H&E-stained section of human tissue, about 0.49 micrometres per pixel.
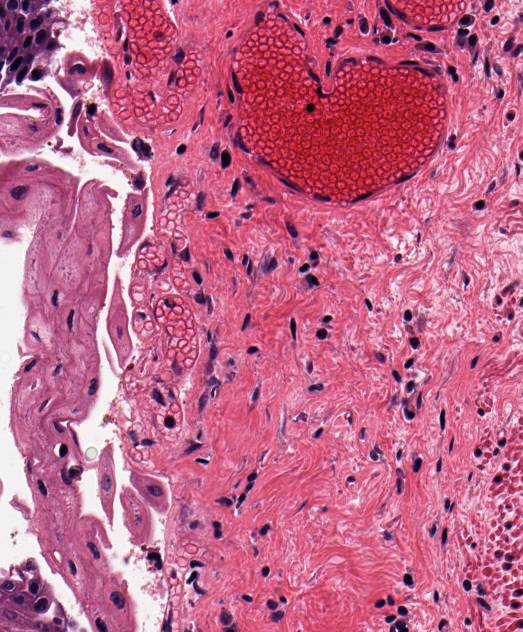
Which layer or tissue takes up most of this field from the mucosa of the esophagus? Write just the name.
loose connective tissue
